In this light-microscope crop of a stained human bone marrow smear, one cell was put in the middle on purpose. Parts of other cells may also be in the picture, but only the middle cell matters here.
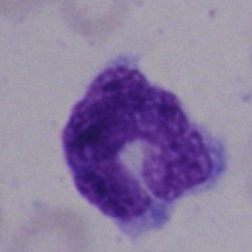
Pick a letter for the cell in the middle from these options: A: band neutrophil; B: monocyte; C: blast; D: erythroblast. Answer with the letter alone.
B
